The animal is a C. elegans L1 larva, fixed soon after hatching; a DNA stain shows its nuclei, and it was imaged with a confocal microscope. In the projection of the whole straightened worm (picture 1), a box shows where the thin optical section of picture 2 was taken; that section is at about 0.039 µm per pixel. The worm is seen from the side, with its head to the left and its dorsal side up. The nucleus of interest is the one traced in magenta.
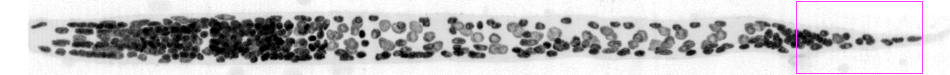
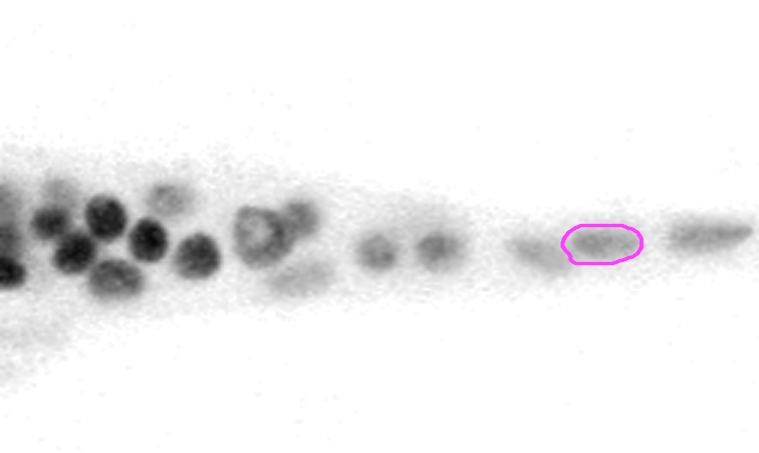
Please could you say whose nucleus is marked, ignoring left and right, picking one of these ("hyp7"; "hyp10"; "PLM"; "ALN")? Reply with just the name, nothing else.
hyp10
